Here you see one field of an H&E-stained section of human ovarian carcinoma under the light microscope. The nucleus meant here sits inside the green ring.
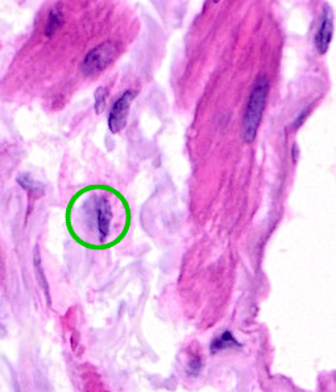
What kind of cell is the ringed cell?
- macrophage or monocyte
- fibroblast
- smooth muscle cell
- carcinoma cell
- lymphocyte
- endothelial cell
fibroblast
